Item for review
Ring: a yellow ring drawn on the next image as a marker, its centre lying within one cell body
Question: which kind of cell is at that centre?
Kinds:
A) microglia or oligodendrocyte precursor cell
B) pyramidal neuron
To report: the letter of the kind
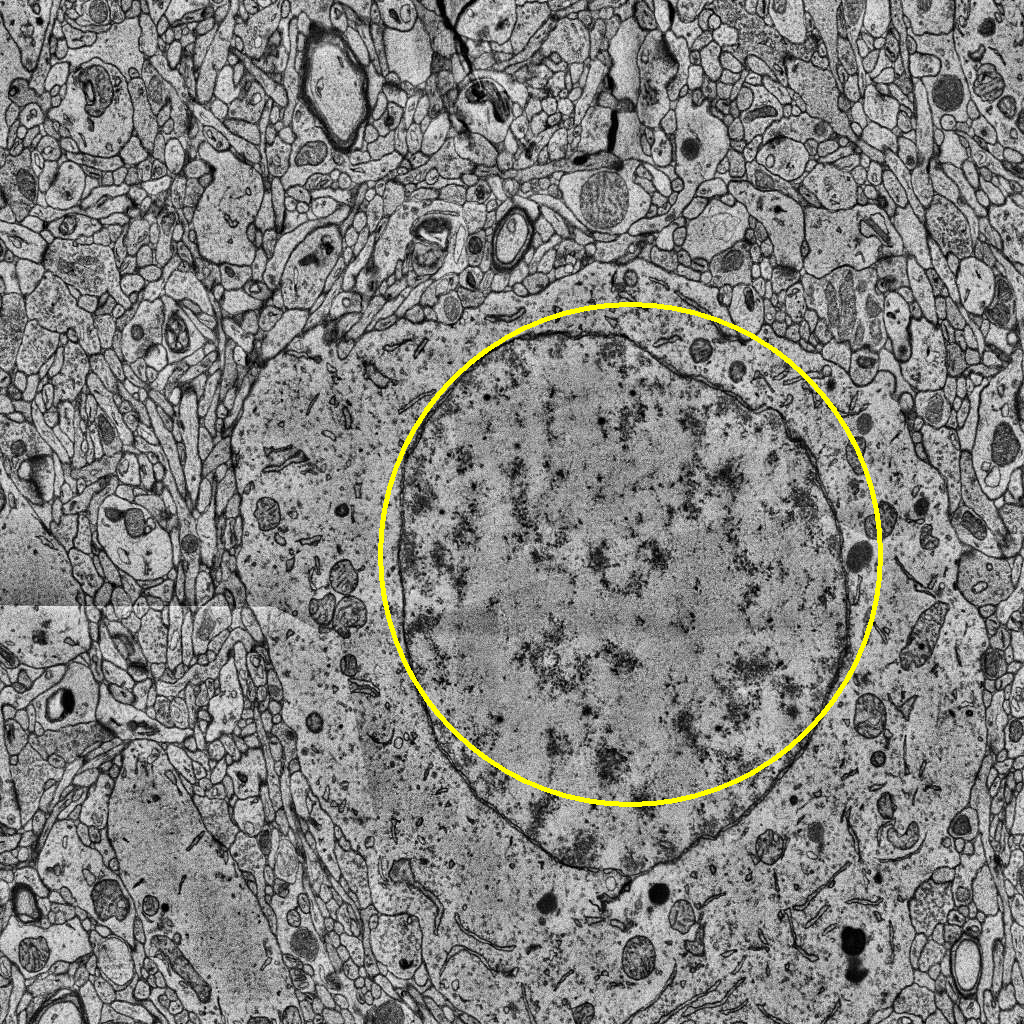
B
